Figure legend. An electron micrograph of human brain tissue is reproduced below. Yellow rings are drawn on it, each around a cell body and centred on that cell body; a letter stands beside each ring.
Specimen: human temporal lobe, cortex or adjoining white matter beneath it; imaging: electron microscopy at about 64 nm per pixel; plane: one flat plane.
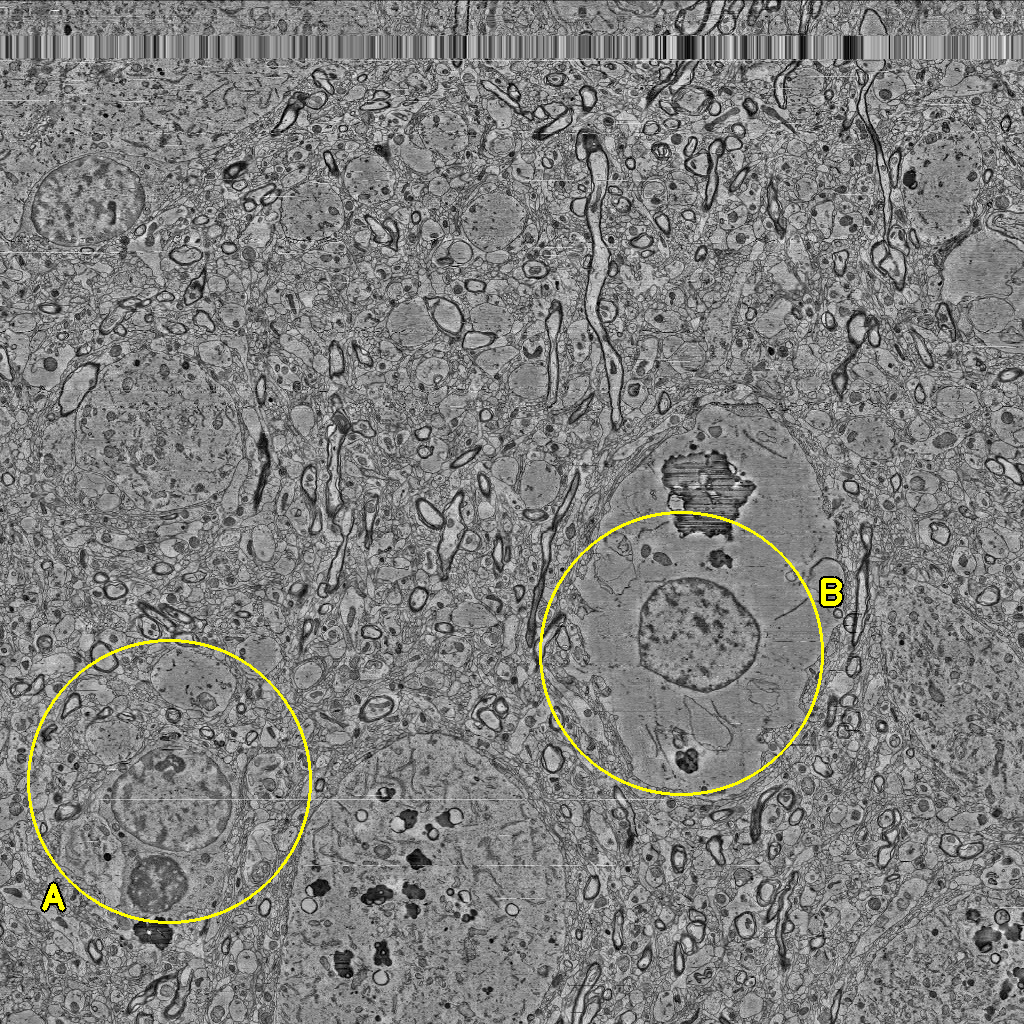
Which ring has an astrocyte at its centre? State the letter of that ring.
B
